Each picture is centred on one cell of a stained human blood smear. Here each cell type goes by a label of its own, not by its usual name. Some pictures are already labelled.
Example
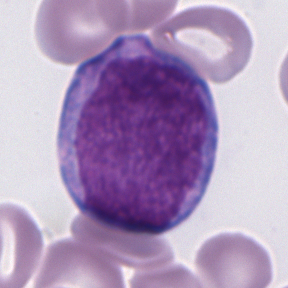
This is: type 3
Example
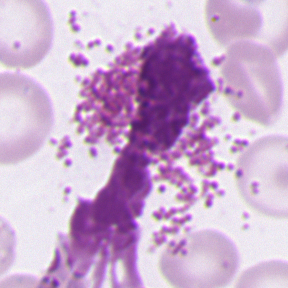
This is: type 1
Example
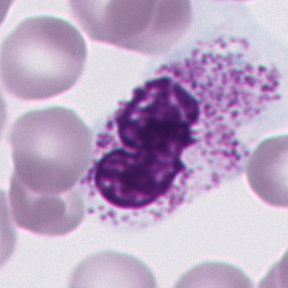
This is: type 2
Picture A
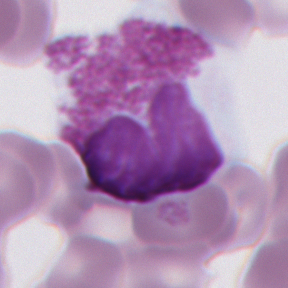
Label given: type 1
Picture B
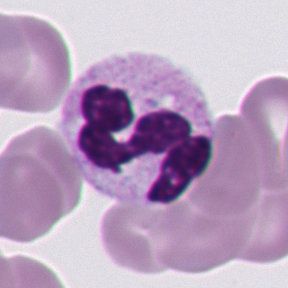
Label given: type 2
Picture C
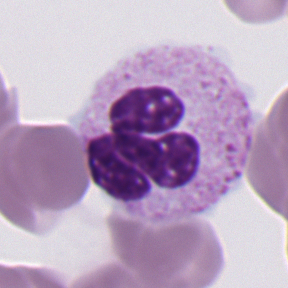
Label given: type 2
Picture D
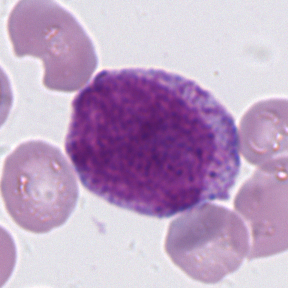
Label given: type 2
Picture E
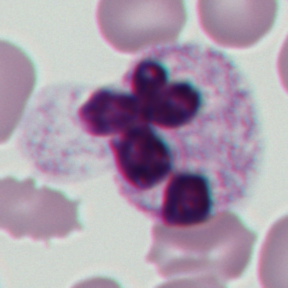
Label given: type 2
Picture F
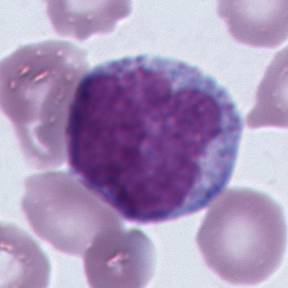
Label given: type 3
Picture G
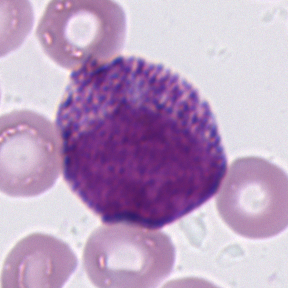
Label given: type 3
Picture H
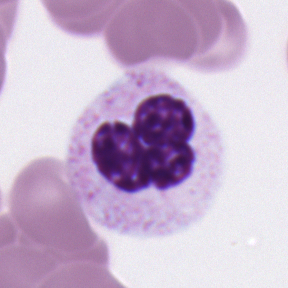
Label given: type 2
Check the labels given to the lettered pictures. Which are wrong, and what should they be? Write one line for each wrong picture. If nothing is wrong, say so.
D: type 3, not type 2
